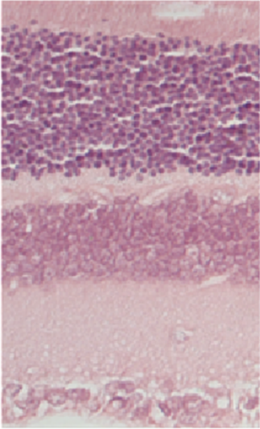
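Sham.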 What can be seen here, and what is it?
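A retina is cut across, and its layers are stacked in orderly bands. At the top is a thick band of small, round, dark purple nuclei packed tightly together. Below it lie a thin pale band, then a second band of closely packed, pinker nuclei, then a broad pale finely granular band. At the bottom is a single row of larger cells with paler nuclei. These bands are the outer nuclear layer, outer plexiform layer, inner nuclear layer, inner plexiform layer and ganglion cell layer.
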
